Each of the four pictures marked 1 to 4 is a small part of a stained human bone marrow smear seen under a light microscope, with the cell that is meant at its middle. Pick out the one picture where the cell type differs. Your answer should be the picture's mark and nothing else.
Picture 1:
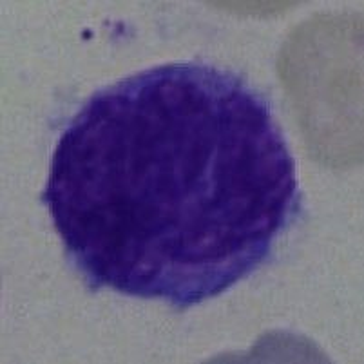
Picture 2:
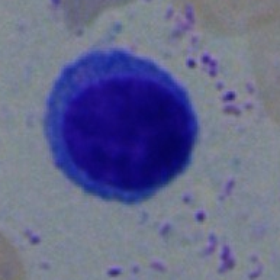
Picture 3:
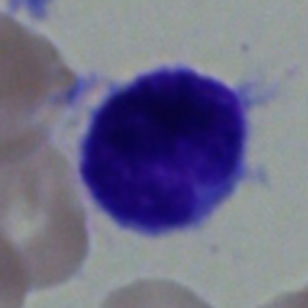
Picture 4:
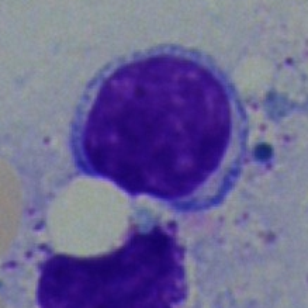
1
